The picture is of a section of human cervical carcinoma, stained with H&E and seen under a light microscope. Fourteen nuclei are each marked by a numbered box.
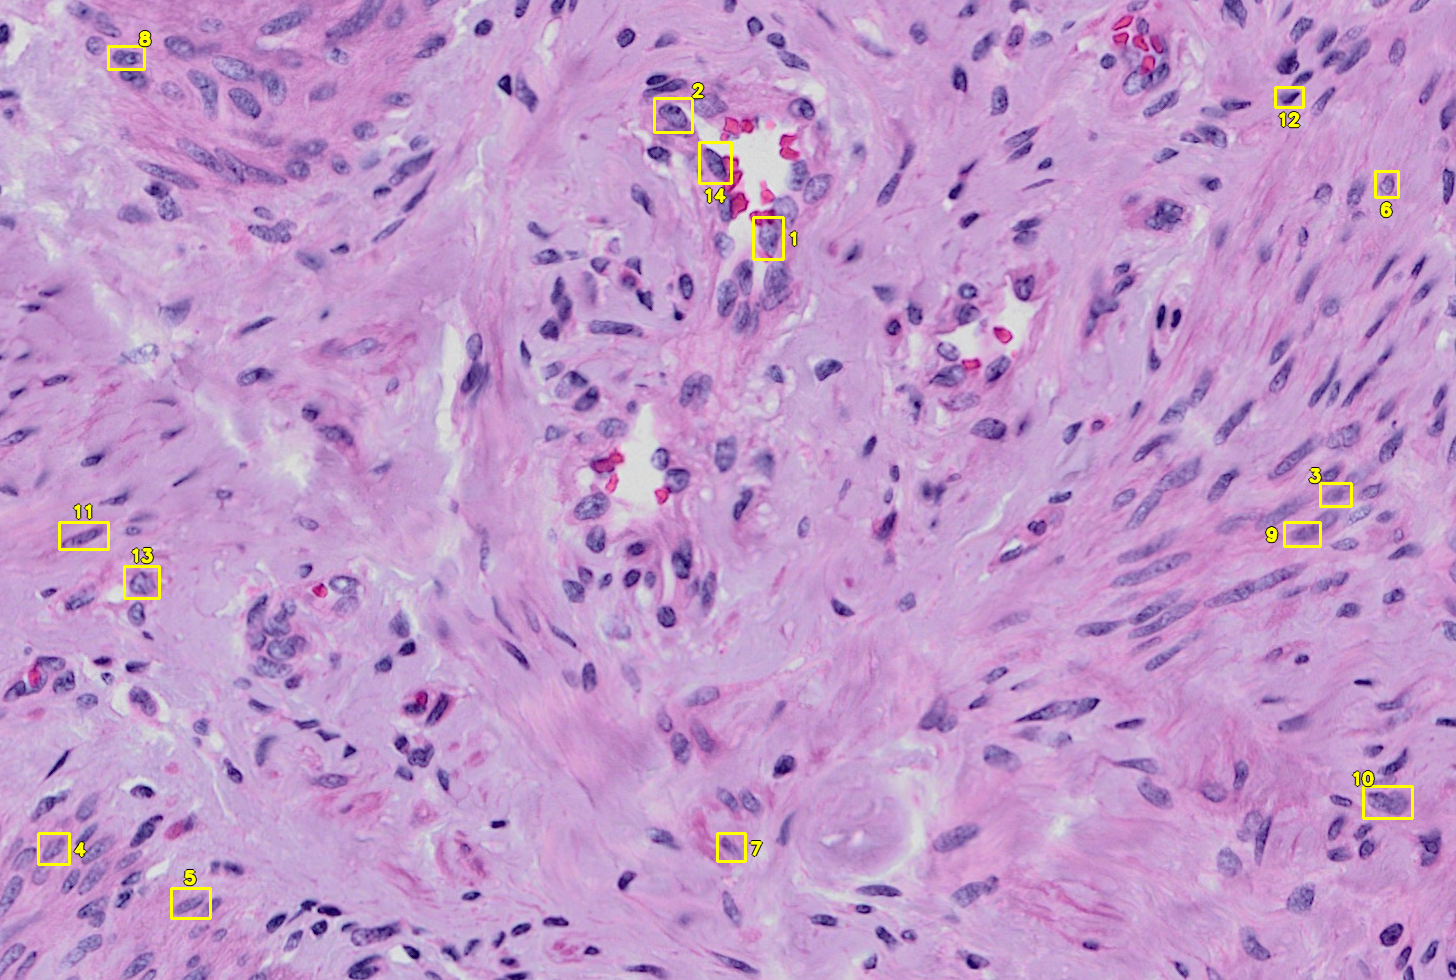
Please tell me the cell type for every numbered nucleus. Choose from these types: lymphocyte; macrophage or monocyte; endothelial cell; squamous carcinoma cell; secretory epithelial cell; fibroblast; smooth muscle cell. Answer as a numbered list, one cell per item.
1. endothelial cell
2. endothelial cell
3. smooth muscle cell
4. smooth muscle cell
5. smooth muscle cell
6. smooth muscle cell
7. smooth muscle cell
8. smooth muscle cell
9. smooth muscle cell
10. fibroblast
11. smooth muscle cell
12. fibroblast
13. endothelial cell
14. endothelial cell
